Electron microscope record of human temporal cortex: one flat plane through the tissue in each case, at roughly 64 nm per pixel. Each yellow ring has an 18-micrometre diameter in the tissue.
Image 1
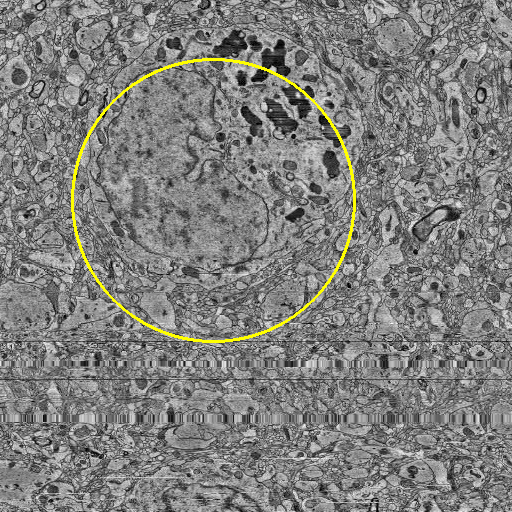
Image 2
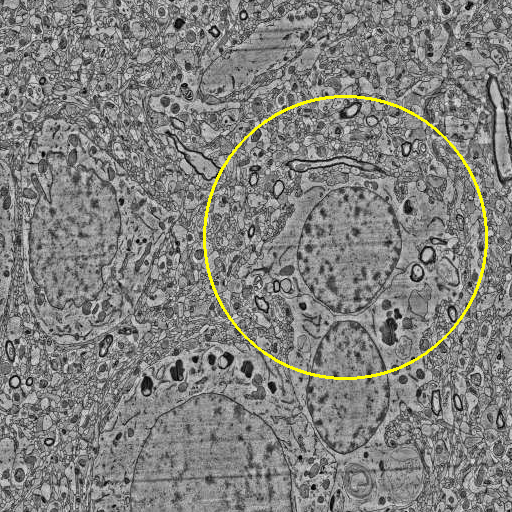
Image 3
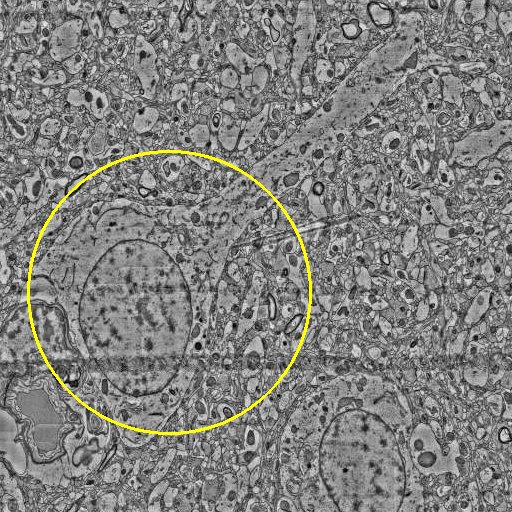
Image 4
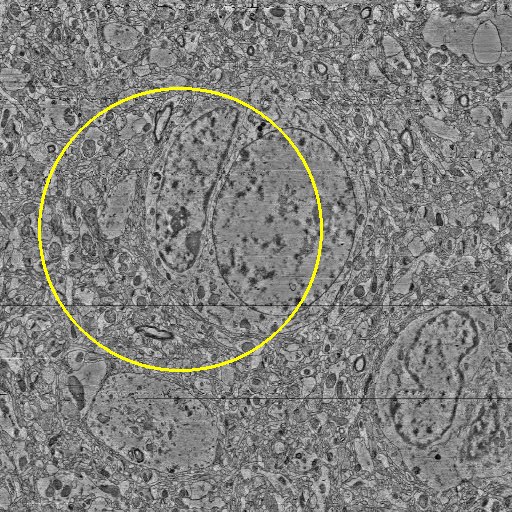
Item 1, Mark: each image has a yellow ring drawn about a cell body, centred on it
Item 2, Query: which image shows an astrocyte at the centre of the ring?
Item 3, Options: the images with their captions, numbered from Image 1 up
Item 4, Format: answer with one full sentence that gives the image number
My answer is image 2, where the cell at the ring's centre fits.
